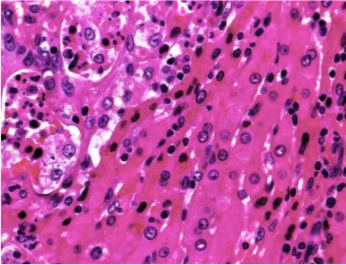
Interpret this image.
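At the left lie tumour glands lined by cells with large, pale, crowded nuclei, and at the right lies the hepatic parenchyma next to the lesion. Between the cords are many small dark elongated nuclei. The parenchyma looks compressed where it borders the tumour.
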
